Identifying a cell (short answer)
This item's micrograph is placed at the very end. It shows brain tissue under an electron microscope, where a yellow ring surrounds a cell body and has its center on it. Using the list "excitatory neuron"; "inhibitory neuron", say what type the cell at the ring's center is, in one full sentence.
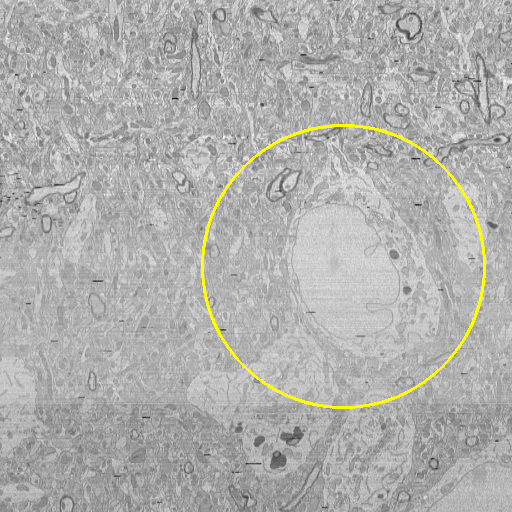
This picture shows an inhibitory neuron at the center of the yellow ring drawn on it.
